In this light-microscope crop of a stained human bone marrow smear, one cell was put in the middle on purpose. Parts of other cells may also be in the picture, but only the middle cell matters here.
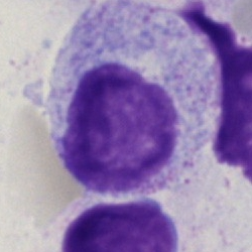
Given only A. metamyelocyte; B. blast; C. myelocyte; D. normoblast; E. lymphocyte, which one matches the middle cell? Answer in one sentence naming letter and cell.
The one to choose is option C, as the cell in the middle is a myelocyte.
